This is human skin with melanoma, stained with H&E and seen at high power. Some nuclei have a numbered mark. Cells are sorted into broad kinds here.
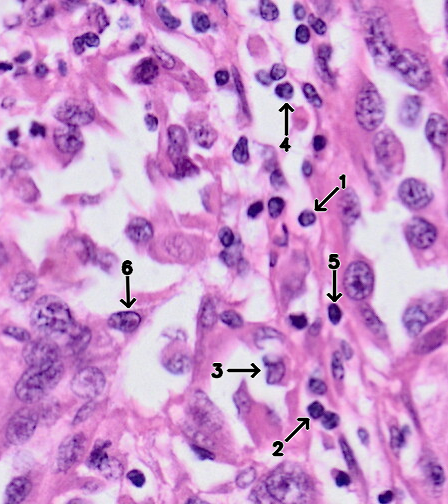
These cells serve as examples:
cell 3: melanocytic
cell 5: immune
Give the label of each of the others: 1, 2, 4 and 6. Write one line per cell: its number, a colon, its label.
1: immune
2: immune
4: immune
6: melanocytic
